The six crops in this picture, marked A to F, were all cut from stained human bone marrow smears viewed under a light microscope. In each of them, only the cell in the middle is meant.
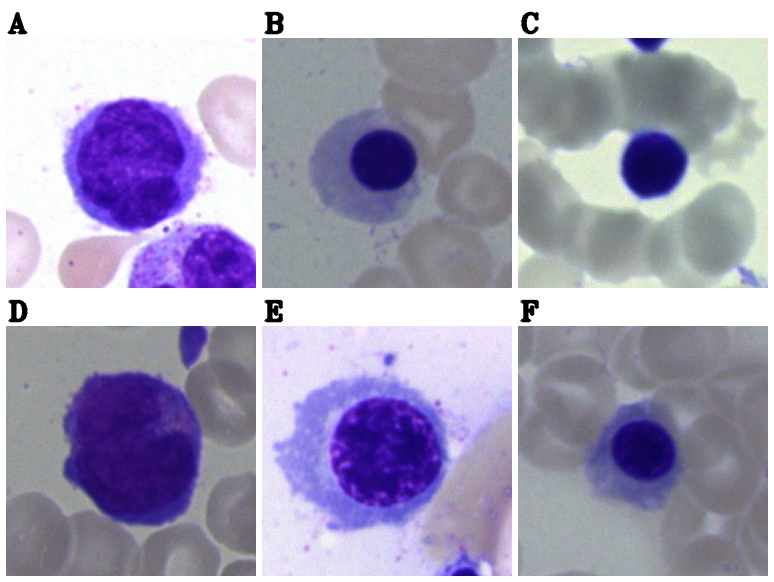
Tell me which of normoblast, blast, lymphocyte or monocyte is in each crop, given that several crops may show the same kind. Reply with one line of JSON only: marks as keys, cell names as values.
{"A": "monocyte", "B": "normoblast", "C": "lymphocyte", "D": "blast", "E": "normoblast", "F": "normoblast"}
